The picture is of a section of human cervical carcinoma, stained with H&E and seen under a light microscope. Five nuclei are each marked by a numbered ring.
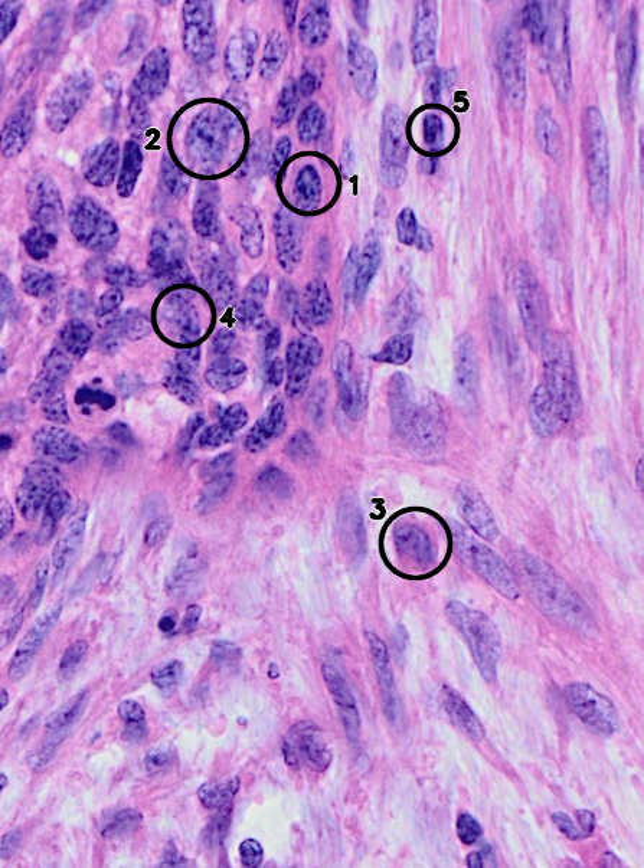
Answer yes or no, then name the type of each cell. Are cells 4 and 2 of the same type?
Yes, both are squamous carcinoma cells.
